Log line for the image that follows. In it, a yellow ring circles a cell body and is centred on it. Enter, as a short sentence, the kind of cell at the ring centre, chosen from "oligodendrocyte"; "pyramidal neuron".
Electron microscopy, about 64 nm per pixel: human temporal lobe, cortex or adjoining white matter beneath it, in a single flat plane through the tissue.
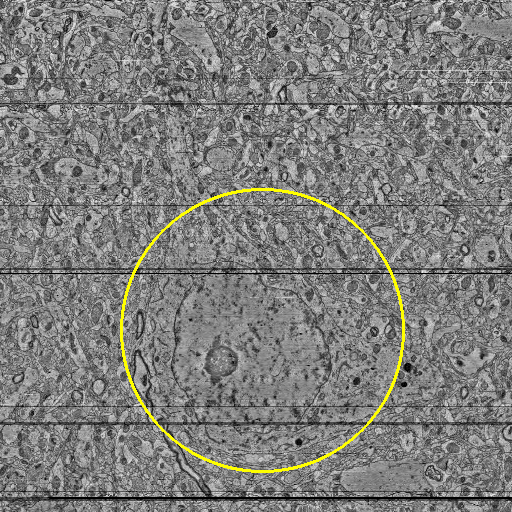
The ring centre is occupied by a pyramidal neuron.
